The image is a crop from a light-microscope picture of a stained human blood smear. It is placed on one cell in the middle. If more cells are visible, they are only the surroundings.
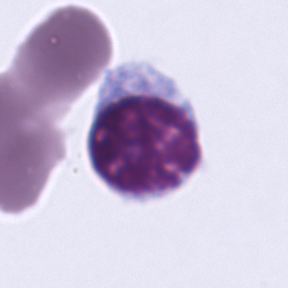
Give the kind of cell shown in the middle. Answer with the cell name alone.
hairy cell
